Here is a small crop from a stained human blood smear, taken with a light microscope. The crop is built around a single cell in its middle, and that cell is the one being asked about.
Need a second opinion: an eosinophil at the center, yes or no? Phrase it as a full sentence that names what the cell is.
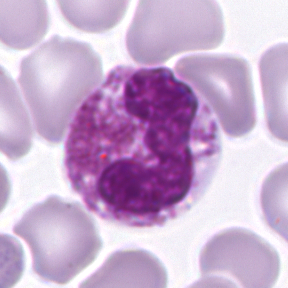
Yes, the cell found at the centre of the crop is an eosinophil.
